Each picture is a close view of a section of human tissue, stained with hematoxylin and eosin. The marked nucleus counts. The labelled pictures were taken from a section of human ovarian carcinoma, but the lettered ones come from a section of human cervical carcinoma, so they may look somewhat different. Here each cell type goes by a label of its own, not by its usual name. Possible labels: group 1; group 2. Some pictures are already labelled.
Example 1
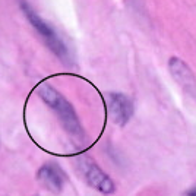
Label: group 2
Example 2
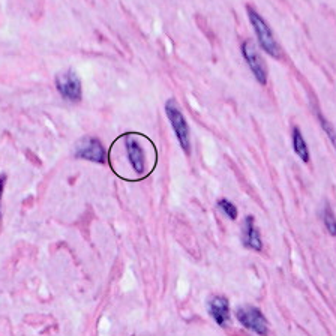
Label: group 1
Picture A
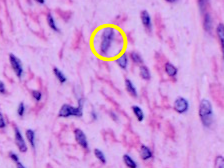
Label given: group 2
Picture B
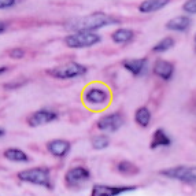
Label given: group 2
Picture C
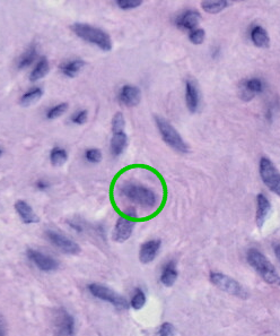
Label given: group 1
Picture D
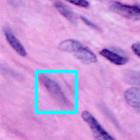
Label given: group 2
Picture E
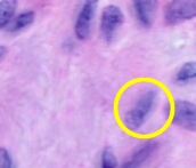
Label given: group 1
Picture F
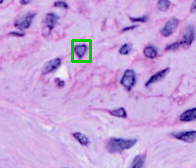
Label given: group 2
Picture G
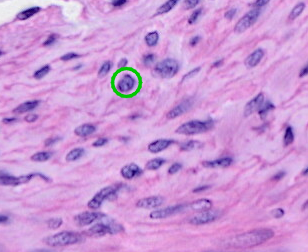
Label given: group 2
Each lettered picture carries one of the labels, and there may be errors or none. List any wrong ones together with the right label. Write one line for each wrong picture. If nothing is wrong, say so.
D should be group 1, not group 2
